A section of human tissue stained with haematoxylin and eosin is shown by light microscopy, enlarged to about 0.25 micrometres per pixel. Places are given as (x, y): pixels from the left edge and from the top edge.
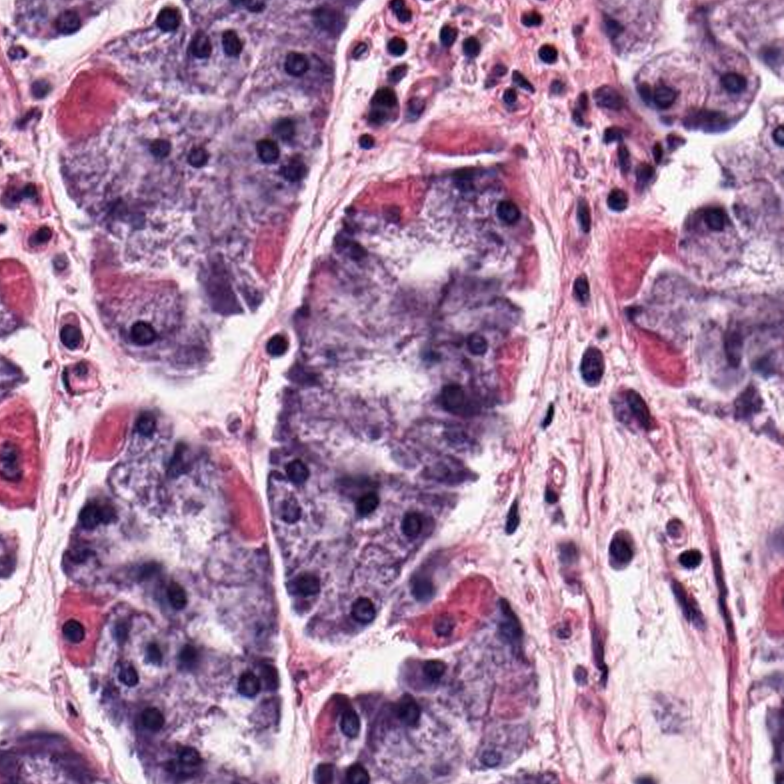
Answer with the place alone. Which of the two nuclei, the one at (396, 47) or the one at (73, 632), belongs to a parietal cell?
(73, 632)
